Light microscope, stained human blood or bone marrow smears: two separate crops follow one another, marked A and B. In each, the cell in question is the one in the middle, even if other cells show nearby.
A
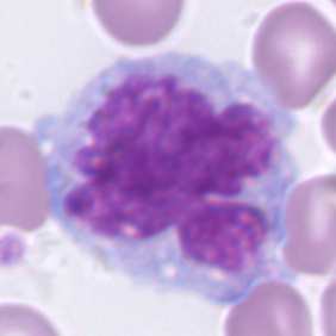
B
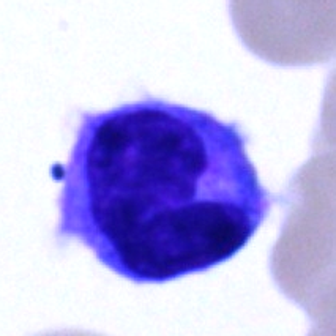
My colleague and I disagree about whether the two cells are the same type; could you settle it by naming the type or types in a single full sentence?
Yes, both crops in the pair show monocytes.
